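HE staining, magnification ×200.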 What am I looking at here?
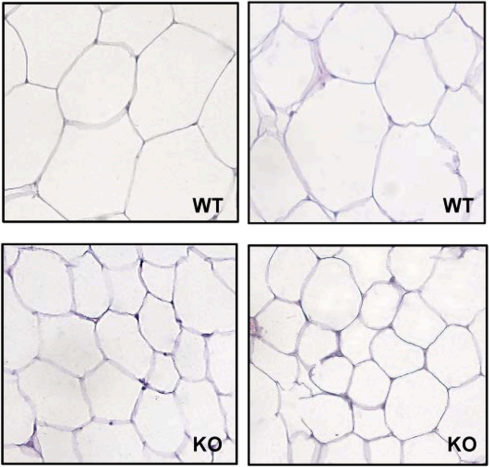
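Adipose tissue made of closely packed adipocytes, each appearing as a large clear, polygonal to rounded space bounded by a thin pale purple rim of cytoplasm. Only a few small, flattened, dark nuclei are seen at the cell margins, and there is very little tissue between the cells. The adipocytes in the lower row are visibly smaller and more numerous per field than those in the upper row.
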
